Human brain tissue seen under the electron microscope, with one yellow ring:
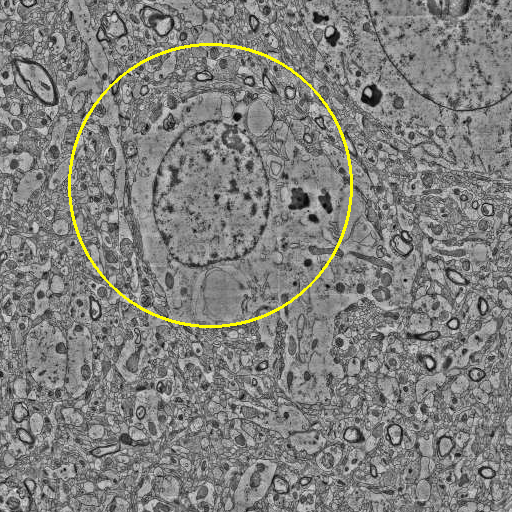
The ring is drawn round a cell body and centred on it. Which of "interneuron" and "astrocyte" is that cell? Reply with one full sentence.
The picture shows an astrocyte at the very centre of the yellow ring.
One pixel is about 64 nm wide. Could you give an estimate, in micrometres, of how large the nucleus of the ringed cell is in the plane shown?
The nucleus comes to roughly 9 by 8 micrometres in this plane.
